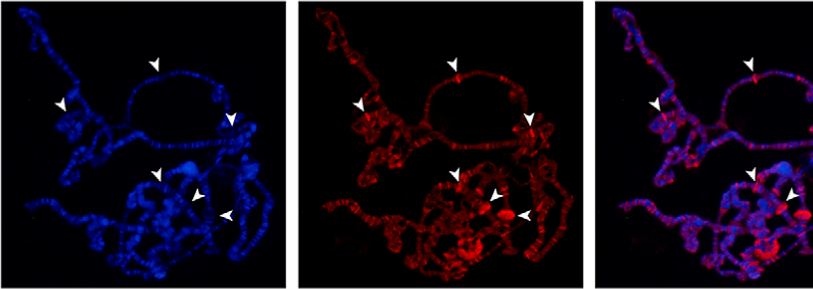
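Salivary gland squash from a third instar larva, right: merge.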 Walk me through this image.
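Several long, thick chromosome arms radiate from a central clustered region, with one arm forming a large open loop at the top. Along every arm, transverse bands alternate with paler stretches, giving a striped appearance. The red stain lies in many narrow bands across the arms, and a few sites are strongly red, including an oval bright red mass in the lower part. White arrowheads point to several red bands that lie where the blue stain is weak, and in the overlay these sites stay red rather than purple.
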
